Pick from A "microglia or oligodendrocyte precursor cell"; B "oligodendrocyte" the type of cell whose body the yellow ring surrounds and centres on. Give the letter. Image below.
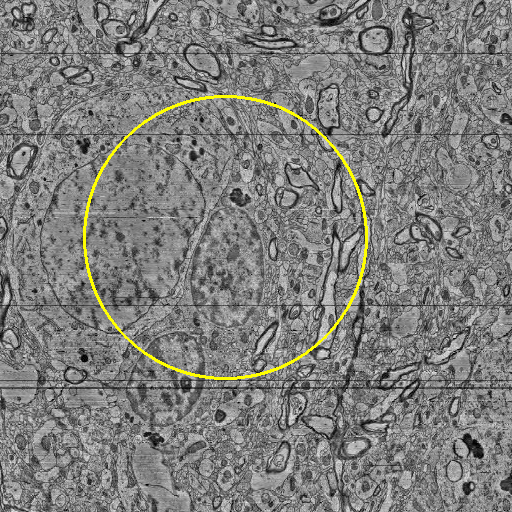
B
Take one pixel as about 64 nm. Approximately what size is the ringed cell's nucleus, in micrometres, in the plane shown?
The nucleus is approximately 8 micrometres long but only about 5 wide, clearly longer than it is wide in this plane.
